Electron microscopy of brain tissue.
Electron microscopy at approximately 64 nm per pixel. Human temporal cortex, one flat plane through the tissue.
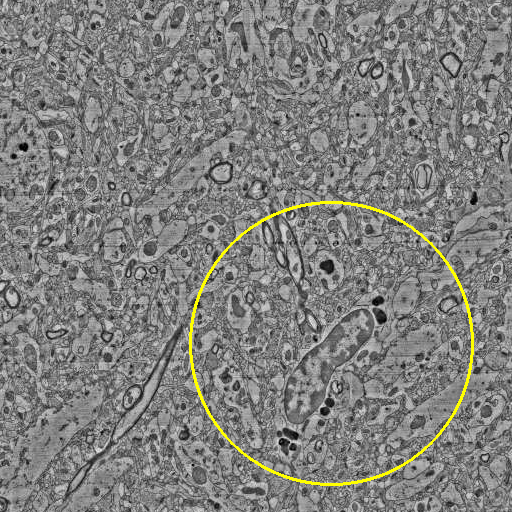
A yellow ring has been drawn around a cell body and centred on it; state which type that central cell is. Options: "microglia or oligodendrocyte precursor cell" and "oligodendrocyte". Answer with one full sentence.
The cell at the middle of the yellow ring is a microglial cell or oligodendrocyte precursor cell in this picture.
